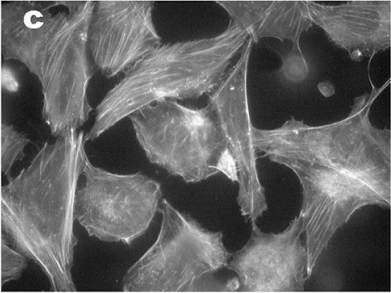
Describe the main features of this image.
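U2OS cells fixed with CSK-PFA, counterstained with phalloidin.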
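These are cultured cells spread flat on the dish, many of them packed side by side with dark gaps between. Bright straight filament bundles run through the cytoplasm, many along the long axis of elongated cells, and a bright rim marks the edges of the cells.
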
